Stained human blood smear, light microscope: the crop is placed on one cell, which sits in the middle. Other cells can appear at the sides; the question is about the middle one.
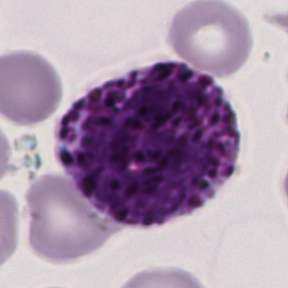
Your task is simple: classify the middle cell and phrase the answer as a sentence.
This crop has a basophil at its centre.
